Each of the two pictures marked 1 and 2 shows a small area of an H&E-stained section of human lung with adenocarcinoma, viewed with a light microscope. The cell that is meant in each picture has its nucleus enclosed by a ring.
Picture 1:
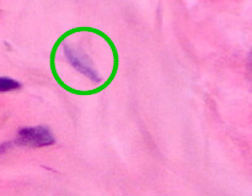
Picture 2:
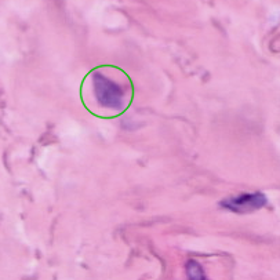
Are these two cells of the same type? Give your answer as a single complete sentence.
Yes, both cells are fibroblasts.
